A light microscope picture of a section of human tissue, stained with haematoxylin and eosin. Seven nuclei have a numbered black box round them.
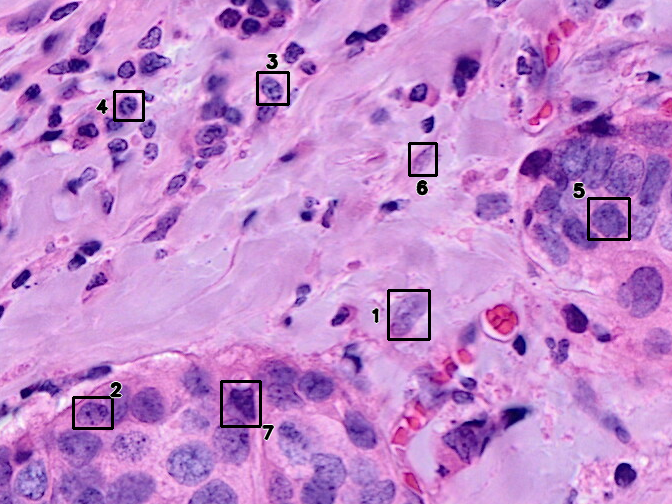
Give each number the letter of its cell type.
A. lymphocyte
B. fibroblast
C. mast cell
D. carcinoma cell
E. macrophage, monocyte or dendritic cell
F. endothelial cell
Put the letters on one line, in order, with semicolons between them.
B; D; C; C; D; B; D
